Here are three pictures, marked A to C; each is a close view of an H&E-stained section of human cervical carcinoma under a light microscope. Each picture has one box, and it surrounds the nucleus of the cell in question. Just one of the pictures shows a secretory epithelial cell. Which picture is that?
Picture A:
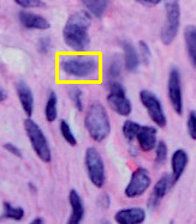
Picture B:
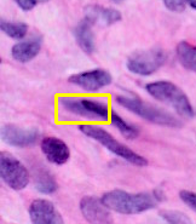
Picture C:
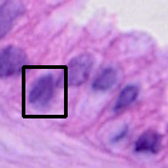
C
